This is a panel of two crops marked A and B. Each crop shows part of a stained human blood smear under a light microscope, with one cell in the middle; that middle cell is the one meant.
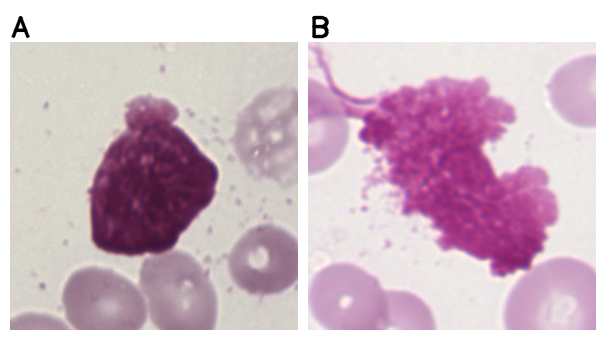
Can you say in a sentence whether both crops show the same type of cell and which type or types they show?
Yes, both crops show smudge cells, one in each.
